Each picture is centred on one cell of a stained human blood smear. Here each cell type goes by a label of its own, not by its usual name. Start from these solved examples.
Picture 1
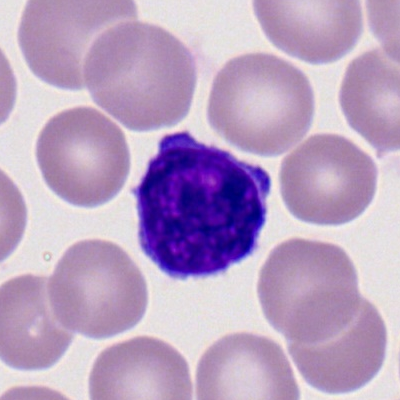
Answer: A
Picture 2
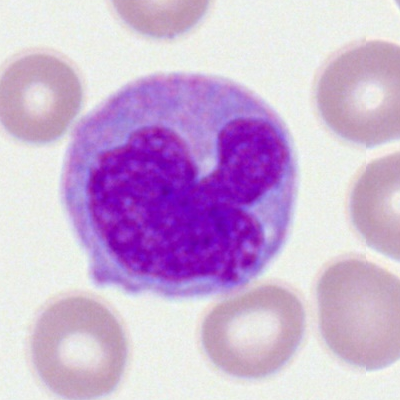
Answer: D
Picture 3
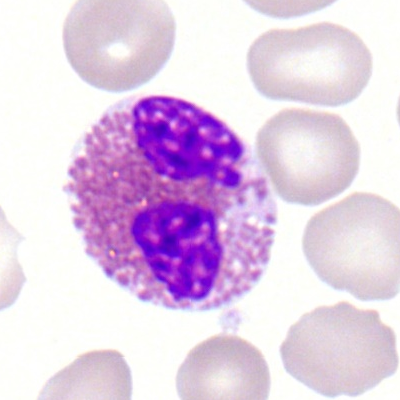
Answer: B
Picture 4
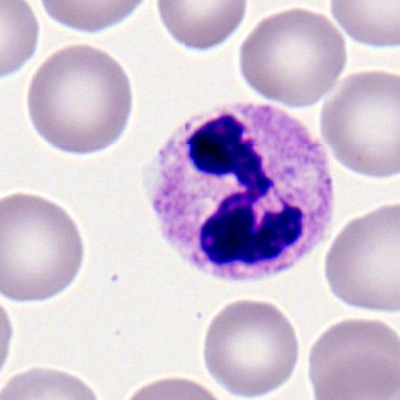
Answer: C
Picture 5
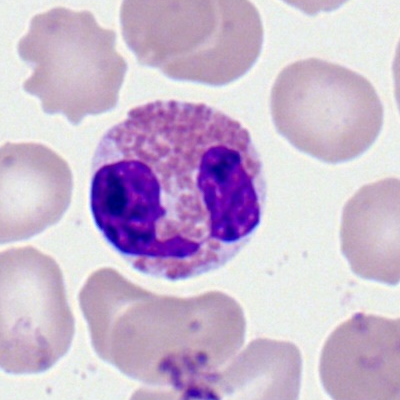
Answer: B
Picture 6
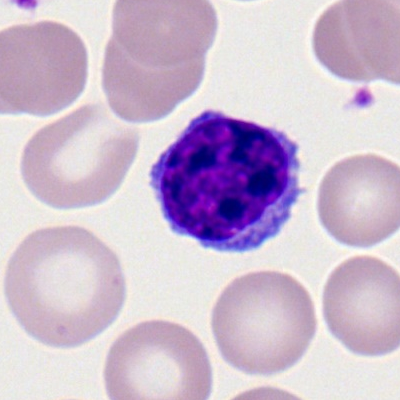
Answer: A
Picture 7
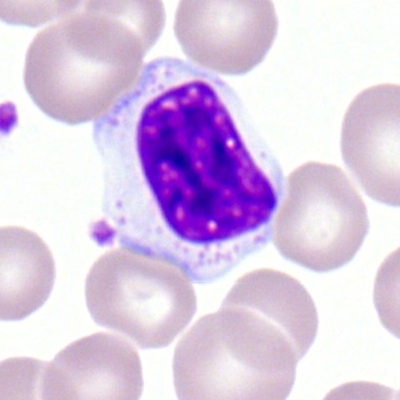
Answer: A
